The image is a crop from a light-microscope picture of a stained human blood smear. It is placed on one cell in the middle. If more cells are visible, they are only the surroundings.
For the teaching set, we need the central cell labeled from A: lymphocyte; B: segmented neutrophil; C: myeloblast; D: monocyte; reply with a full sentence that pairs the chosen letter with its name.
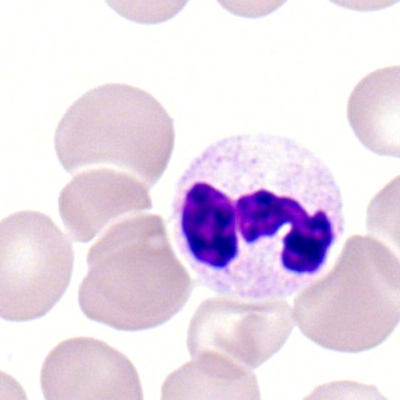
The cell in the center of this crop is a segmented neutrophil, so option B is the one to pick.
